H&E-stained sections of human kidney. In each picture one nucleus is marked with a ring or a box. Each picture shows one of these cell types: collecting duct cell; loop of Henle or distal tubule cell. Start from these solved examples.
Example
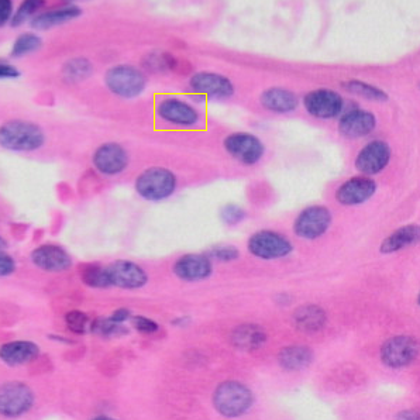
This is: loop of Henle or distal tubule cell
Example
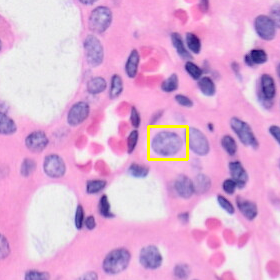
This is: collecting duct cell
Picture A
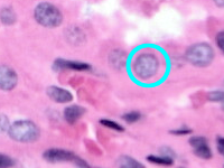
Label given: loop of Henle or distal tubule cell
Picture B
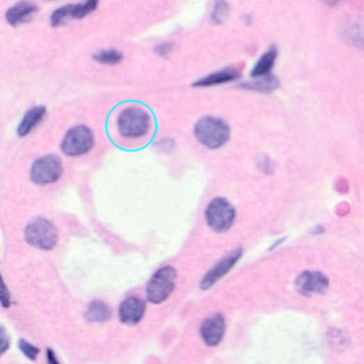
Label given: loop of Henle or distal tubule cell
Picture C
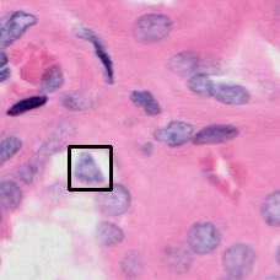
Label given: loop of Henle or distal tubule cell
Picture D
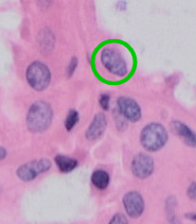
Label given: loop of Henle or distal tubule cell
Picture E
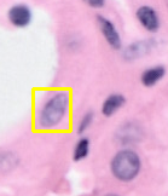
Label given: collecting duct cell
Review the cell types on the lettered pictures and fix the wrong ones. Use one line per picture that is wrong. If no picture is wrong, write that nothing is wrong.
Wrong: E (collecting duct cell); correct: loop of Henle or distal tubule cell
